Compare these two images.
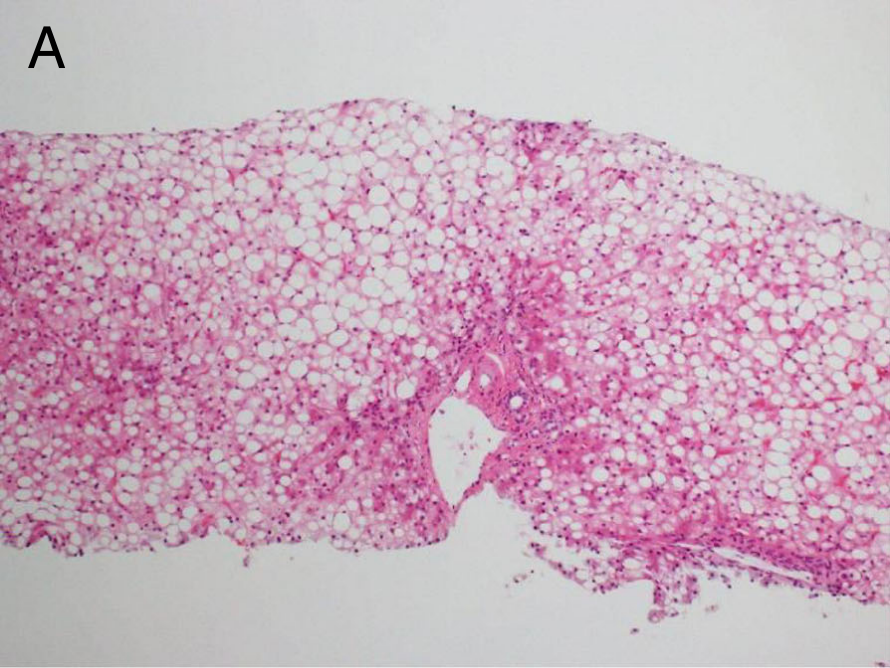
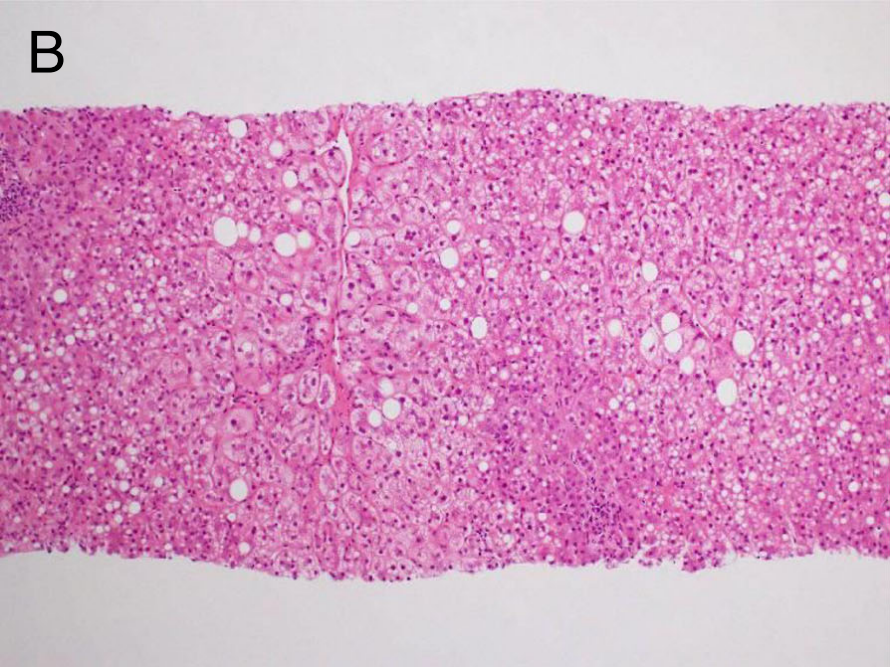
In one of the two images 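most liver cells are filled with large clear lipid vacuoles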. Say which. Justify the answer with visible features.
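The first image. Second image: pink cell cytoplasm dominates, with only scattered clear round vacuoles. First image: large clear round vacuoles fill most of the tissue, leaving thin pink rims.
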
